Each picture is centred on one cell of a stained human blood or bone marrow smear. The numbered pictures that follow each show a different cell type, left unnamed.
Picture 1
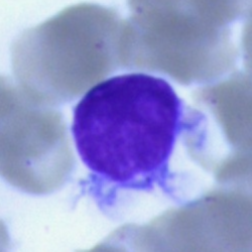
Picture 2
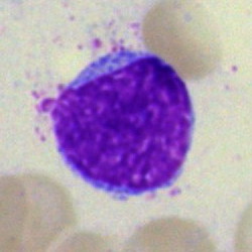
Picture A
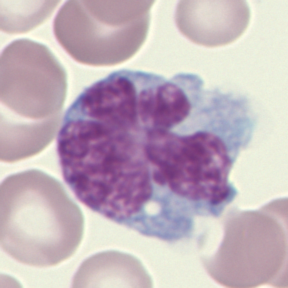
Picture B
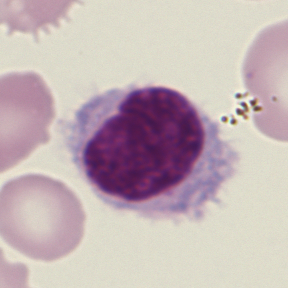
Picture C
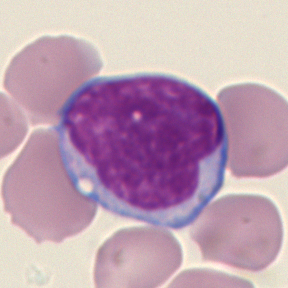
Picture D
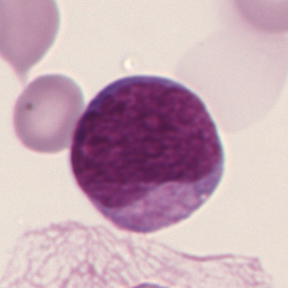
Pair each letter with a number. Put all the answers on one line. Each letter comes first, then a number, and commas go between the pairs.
A 2, B 1, C 2, D 2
